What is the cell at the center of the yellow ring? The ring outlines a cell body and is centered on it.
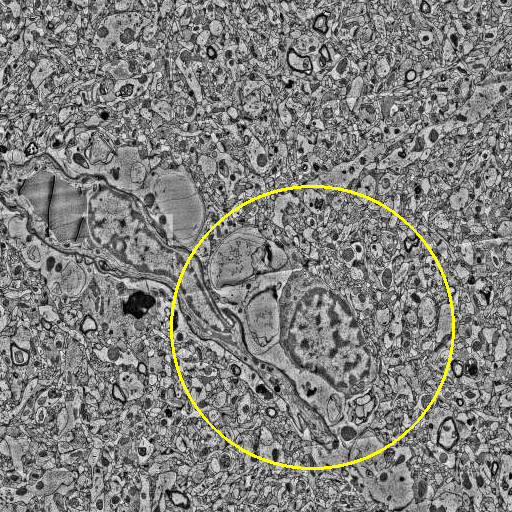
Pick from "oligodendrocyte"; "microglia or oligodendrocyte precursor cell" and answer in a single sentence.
The yellow ring is centered on an oligodendrocyte.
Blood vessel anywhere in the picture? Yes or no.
Yes, a vessel appears in the picture.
